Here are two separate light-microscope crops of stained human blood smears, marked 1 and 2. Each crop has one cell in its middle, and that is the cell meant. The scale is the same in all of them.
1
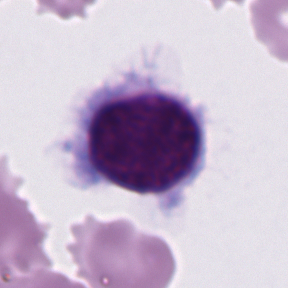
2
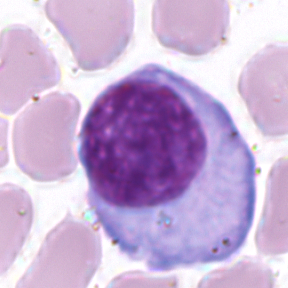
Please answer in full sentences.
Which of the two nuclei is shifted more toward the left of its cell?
In crop 2 the nucleus is shifted more toward the left.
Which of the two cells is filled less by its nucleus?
The nucleus fills less of the cell in crop 2 than in crop 1.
